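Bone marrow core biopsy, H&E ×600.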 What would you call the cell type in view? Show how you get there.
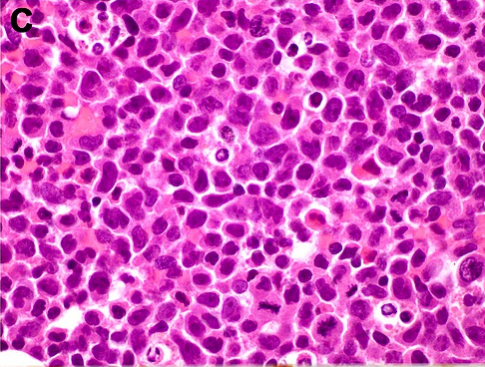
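Densely packed sheets of cells with little cytoplasm. Nuclei vary in size and have irregular outlines.
Conclusion: immature precursors/blasts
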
